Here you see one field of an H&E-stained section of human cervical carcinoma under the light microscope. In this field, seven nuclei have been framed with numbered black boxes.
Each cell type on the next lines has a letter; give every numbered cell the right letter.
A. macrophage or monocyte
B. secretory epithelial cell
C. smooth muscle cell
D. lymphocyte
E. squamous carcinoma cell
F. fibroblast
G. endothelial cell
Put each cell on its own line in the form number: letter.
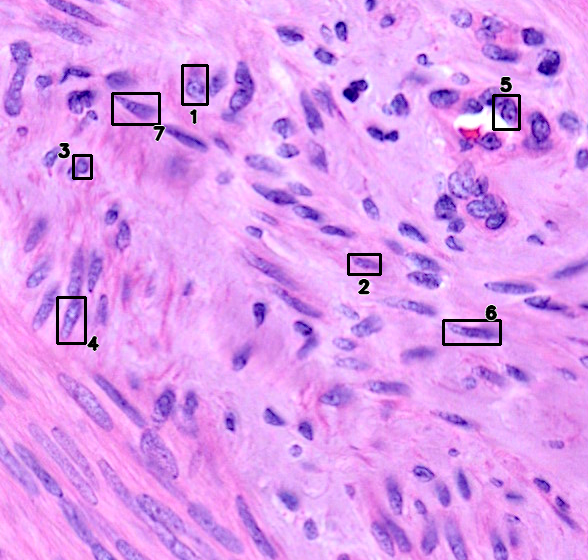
1: C
2: C
3: C
4: C
5: G
6: F
7: F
